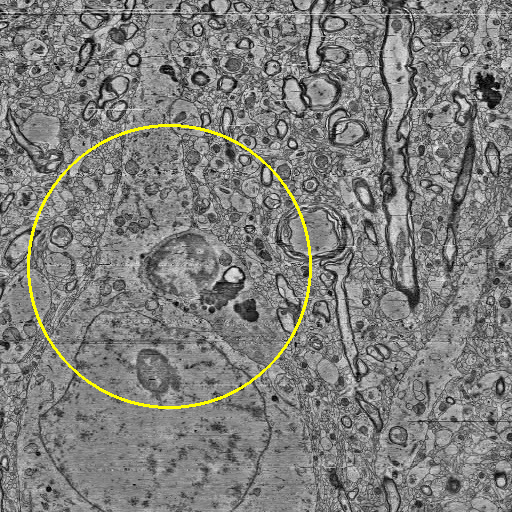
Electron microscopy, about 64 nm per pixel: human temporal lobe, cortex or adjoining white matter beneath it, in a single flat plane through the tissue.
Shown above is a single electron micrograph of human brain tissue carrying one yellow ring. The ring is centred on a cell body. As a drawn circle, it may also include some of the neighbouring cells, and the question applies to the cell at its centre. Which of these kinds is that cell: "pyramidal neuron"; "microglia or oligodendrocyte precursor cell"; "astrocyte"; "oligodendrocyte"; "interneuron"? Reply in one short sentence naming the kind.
The cell marked by the ring is an oligodendrocyte.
